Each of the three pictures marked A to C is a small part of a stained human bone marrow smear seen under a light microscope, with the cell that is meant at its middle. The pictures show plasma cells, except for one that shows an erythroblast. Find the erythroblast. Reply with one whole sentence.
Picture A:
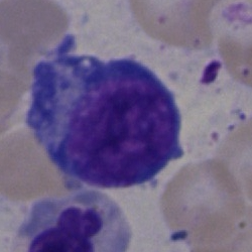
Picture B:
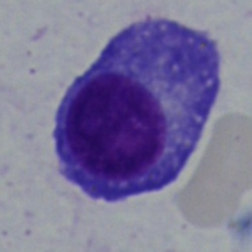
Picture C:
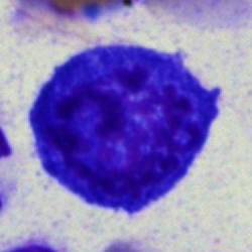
The picture with the erythroblast is C.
